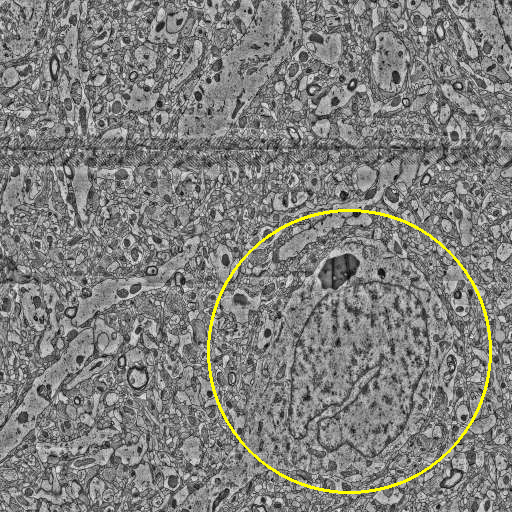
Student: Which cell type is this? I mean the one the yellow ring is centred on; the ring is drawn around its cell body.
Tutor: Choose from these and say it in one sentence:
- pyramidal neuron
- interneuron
The cell the ring is centred on is an interneuron.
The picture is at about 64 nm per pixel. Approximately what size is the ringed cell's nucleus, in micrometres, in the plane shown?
The nucleus is approximately 12 micrometers long by 9 micrometers wide in this plane.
